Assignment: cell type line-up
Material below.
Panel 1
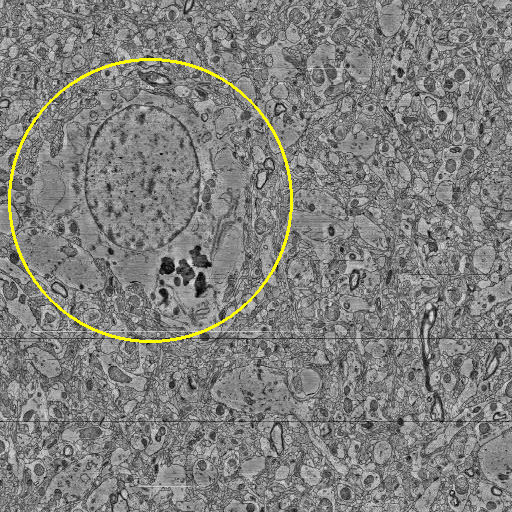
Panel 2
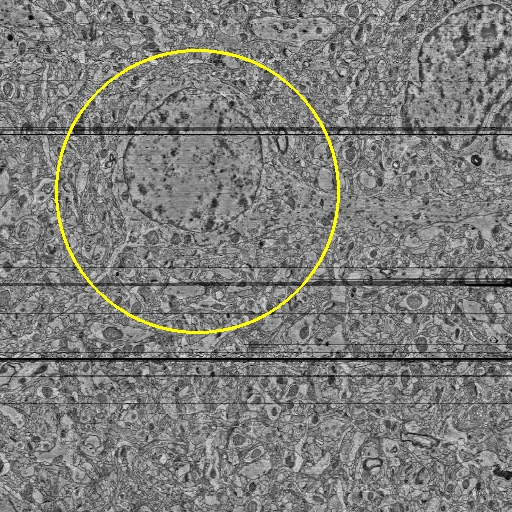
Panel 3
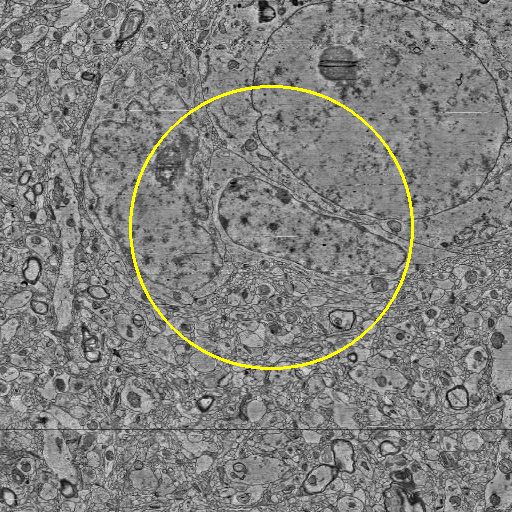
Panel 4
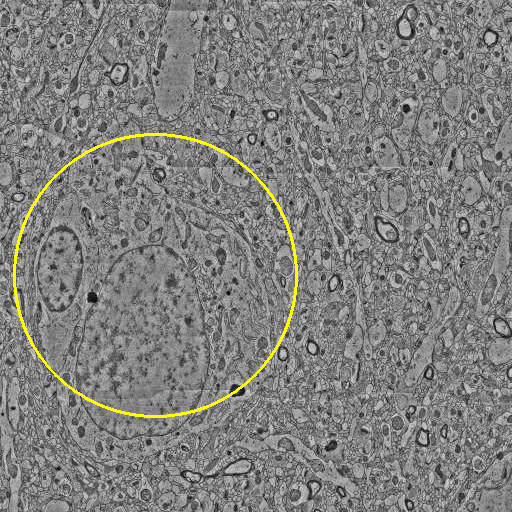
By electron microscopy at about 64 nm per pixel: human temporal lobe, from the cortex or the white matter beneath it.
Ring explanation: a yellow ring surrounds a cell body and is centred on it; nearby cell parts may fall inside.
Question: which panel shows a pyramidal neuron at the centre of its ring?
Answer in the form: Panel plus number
Panel 2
